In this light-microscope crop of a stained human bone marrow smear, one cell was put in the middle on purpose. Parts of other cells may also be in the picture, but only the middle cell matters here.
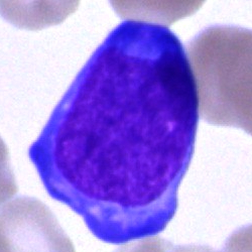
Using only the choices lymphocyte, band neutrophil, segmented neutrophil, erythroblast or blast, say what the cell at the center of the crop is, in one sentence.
Looking at the middle of the crop, the cell there is a blast.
